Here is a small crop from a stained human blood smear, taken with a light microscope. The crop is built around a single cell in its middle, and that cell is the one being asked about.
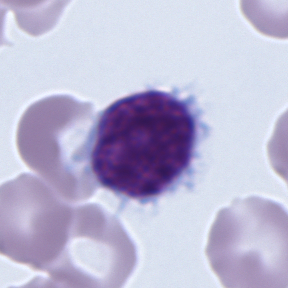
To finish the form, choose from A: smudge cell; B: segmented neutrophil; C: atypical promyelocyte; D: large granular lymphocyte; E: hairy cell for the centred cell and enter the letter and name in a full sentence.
The cell in the middle is a hairy cell, so option E is correct.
